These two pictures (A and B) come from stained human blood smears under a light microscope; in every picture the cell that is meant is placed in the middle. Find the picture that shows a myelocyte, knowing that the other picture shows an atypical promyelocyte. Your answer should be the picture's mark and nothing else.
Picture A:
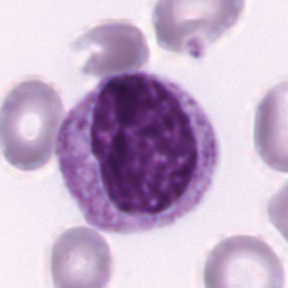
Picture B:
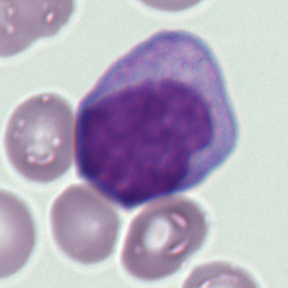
A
